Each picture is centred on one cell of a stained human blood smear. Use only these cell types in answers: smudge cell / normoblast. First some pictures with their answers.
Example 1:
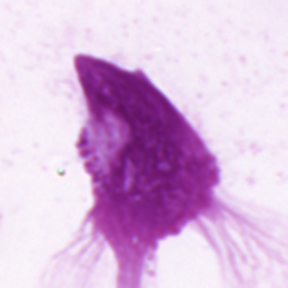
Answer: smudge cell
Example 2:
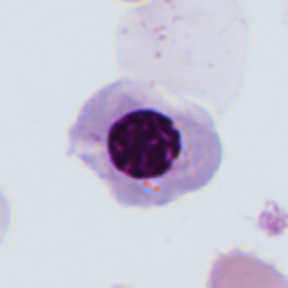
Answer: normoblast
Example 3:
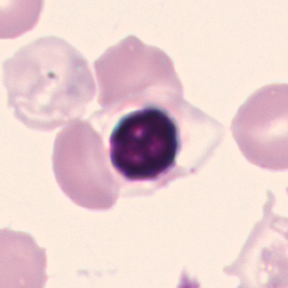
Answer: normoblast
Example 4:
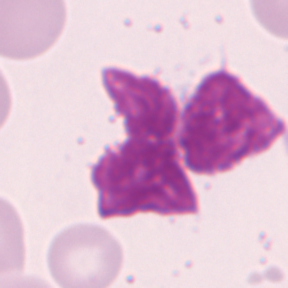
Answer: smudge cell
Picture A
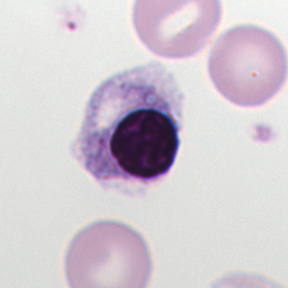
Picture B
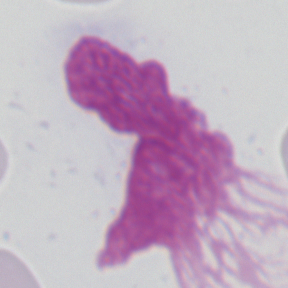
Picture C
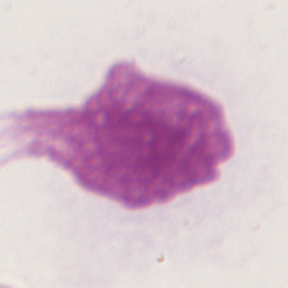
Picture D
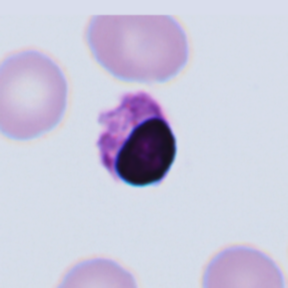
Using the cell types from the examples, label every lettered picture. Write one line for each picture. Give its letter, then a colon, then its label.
A: normoblast
B: smudge cell
C: smudge cell
D: normoblast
